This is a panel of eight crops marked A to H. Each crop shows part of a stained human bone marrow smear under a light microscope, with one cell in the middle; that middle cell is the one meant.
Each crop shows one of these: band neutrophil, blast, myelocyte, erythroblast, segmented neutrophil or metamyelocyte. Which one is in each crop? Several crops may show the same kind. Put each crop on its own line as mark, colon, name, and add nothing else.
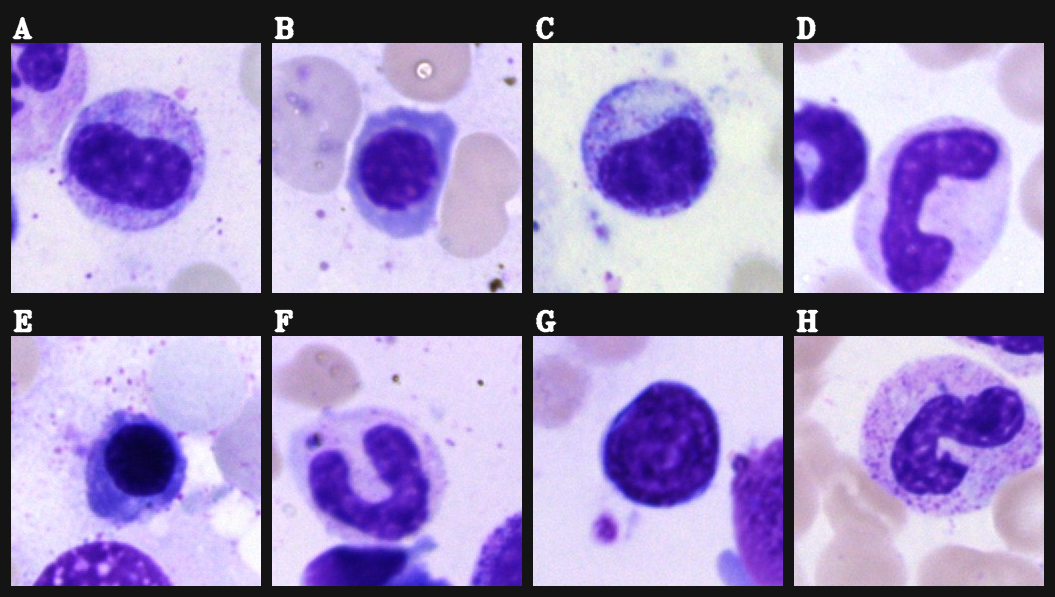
A: metamyelocyte
B: erythroblast
C: myelocyte
D: band neutrophil
E: erythroblast
F: band neutrophil
G: blast
H: band neutrophil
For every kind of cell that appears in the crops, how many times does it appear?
band neutrophil: 3
erythroblast: 2
metamyelocyte: 1
myelocyte: 1
blast: 1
